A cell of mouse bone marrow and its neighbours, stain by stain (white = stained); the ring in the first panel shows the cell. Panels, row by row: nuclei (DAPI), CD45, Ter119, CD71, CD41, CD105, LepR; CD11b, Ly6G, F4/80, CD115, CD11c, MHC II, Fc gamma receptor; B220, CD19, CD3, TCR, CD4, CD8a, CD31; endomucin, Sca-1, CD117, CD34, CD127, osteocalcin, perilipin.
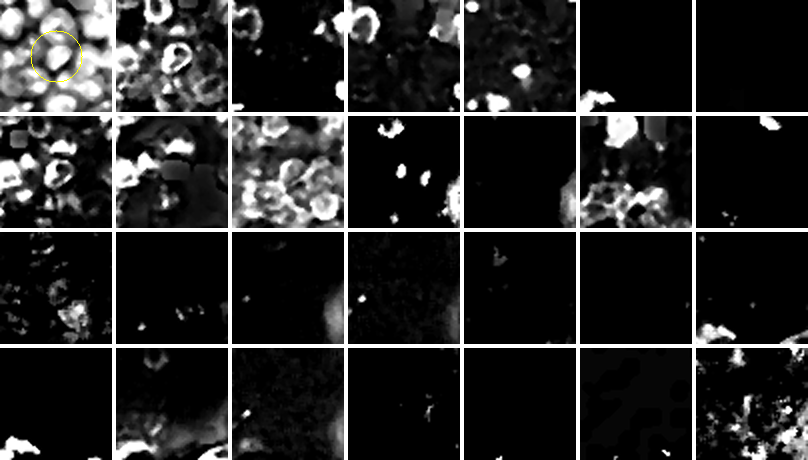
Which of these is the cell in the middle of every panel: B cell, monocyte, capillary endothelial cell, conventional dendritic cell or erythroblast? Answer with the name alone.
monocyte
